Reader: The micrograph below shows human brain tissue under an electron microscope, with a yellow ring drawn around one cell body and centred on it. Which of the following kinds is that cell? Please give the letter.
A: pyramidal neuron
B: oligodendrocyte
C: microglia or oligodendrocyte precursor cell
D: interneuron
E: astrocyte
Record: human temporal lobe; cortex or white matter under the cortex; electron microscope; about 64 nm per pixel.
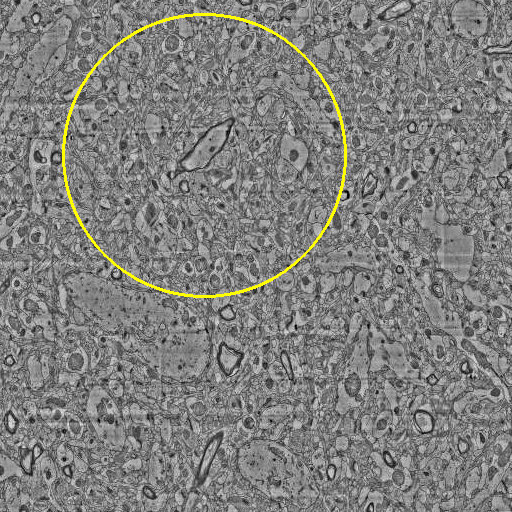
C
